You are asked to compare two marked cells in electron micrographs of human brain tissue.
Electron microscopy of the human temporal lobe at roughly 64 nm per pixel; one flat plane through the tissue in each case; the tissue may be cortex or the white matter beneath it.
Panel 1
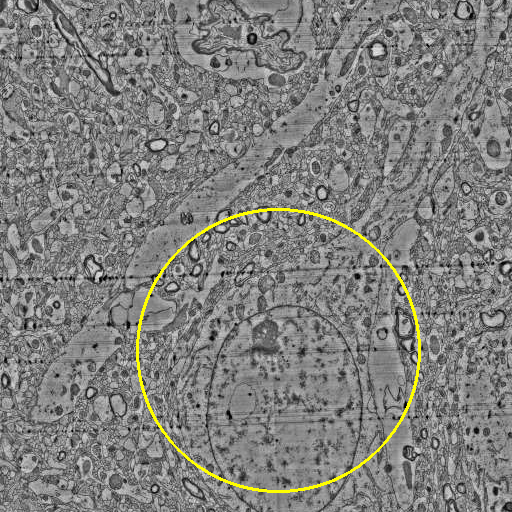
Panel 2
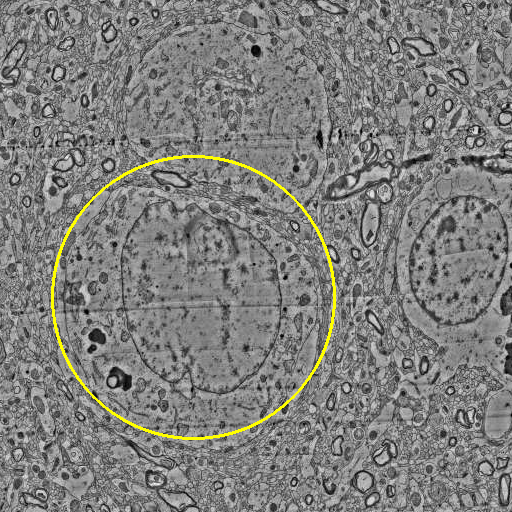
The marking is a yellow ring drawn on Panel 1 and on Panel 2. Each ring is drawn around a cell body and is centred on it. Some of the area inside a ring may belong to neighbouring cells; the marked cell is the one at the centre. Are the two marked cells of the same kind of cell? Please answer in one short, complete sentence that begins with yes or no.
Yes, the two marked cells are of the same kind.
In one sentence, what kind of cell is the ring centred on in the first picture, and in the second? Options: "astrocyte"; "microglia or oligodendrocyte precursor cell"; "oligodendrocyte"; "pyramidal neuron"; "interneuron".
Both cells are the same kind, each one being a pyramidal neuron.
